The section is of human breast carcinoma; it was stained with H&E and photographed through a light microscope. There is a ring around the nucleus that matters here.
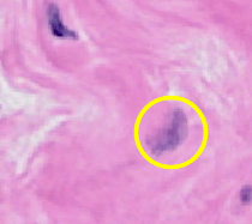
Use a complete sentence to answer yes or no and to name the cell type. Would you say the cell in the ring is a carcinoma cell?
No, the cell in the ring counts as a fibroblast rather than as a carcinoma cell.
